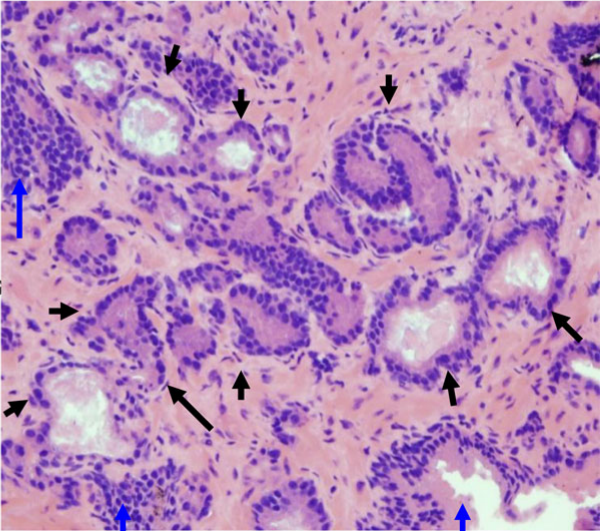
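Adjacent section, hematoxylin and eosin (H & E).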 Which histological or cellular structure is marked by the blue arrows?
Benign glands.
